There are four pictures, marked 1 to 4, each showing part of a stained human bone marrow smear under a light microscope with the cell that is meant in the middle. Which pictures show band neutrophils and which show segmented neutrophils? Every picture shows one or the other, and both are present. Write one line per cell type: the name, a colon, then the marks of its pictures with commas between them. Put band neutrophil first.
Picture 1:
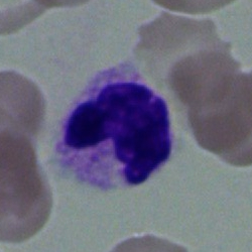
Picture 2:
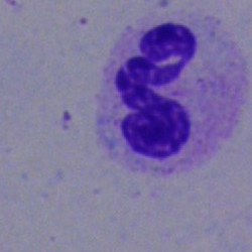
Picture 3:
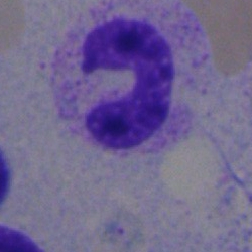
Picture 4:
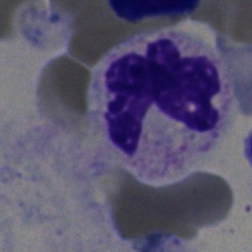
band neutrophil: 3
segmented neutrophil: 1, 2, 4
